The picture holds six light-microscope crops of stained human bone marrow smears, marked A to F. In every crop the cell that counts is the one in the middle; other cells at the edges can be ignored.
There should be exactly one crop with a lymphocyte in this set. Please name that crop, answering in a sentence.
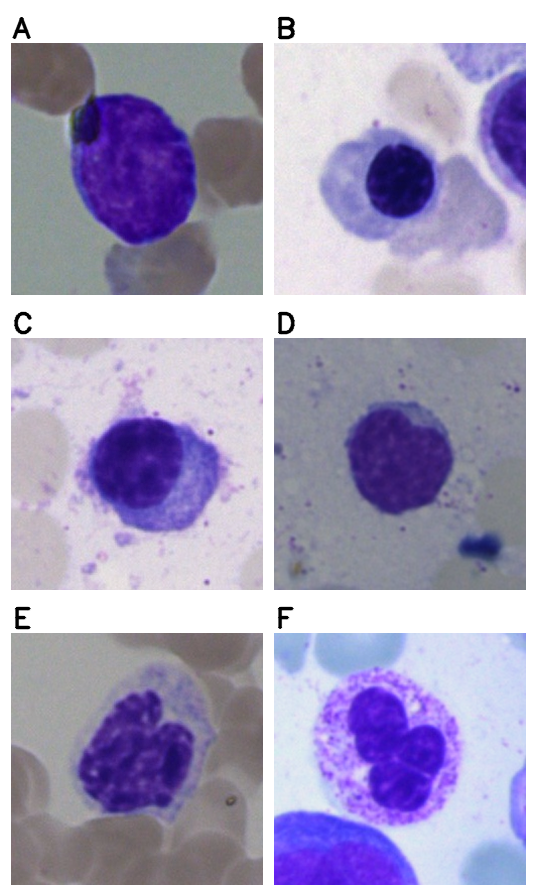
That would be crop D; it shows a lymphocyte.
